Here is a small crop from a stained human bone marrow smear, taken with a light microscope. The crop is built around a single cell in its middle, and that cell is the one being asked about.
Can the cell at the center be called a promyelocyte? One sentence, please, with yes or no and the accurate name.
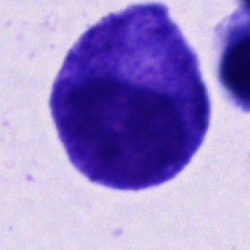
Yes, the cell that is in the middle is a promyelocyte.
